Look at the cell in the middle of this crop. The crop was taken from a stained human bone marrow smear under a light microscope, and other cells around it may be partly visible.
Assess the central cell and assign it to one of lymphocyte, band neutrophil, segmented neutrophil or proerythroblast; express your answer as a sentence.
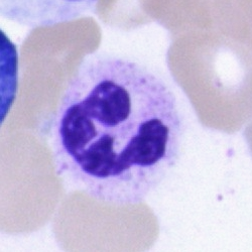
Here the centrally located cell is a segmented neutrophil.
